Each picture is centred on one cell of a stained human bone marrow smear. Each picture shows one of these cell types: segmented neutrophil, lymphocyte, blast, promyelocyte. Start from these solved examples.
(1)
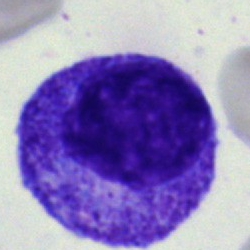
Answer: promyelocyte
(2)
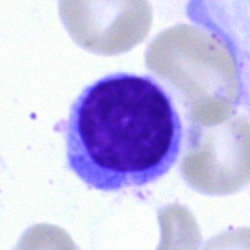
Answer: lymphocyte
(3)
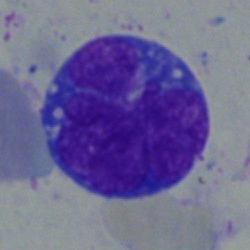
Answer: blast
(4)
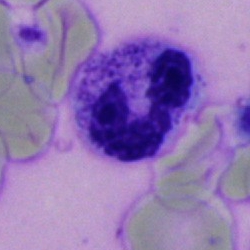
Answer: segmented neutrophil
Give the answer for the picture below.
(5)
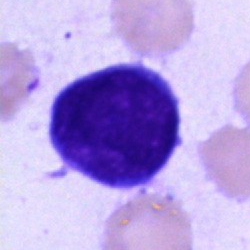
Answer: blast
